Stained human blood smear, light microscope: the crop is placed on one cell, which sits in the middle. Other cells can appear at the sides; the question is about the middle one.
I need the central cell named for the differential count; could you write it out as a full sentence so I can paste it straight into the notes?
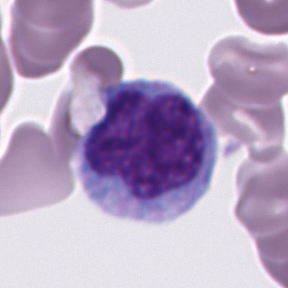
For this crop, the cell in the middle is a monocyte.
